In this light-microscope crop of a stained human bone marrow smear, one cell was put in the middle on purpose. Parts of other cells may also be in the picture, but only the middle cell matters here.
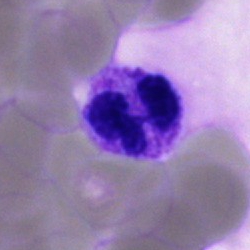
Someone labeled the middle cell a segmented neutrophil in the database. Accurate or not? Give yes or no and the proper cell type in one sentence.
Yes, the cell lying in the middle is a segmented neutrophil.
